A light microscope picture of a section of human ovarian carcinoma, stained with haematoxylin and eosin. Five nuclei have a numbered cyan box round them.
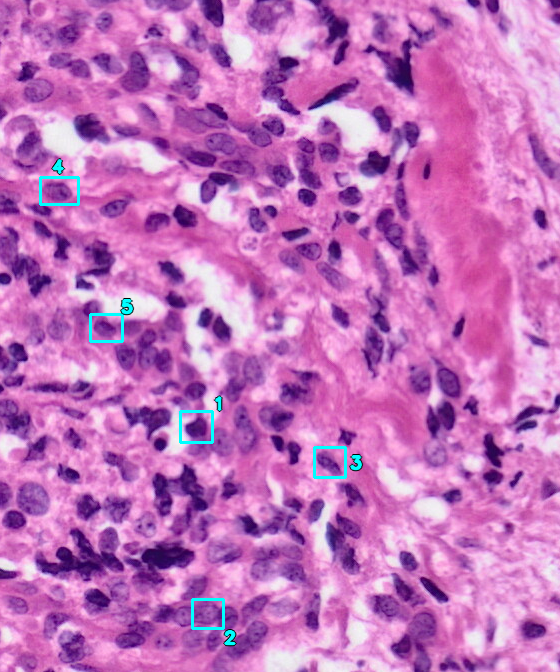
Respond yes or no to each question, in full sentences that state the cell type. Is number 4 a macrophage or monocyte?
Yes, within this section, cell number 4 is a macrophage or monocyte.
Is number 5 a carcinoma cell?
Yes, the marked cell numbered 5 is a carcinoma cell.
